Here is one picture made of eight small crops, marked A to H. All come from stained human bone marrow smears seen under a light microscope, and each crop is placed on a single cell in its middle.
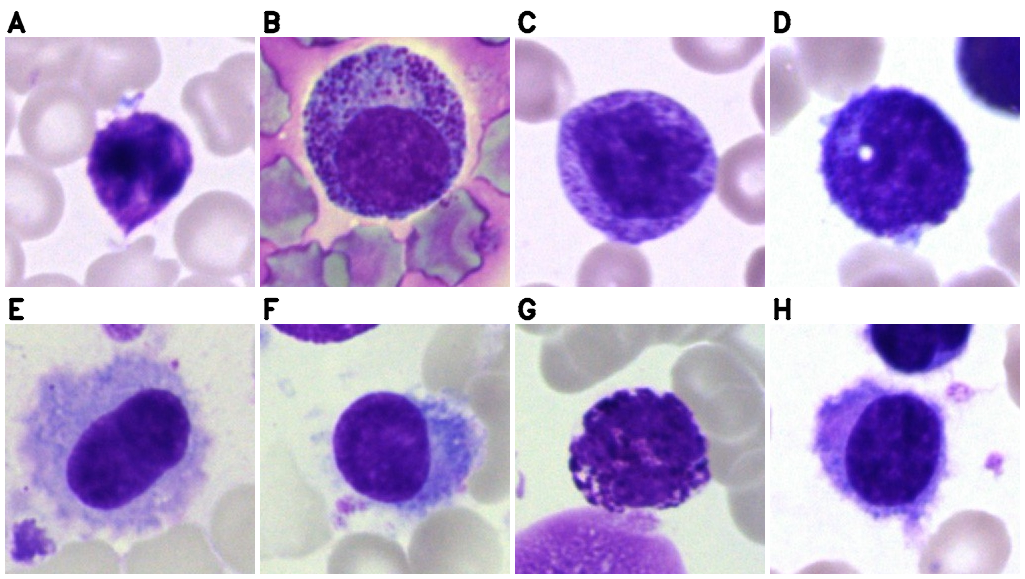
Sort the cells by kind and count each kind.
promyelocyte: 3
hairy cell: 3
basophil: 2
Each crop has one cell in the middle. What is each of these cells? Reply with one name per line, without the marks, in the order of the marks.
basophil
promyelocyte
promyelocyte
promyelocyte
hairy cell
hairy cell
basophil
hairy cell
